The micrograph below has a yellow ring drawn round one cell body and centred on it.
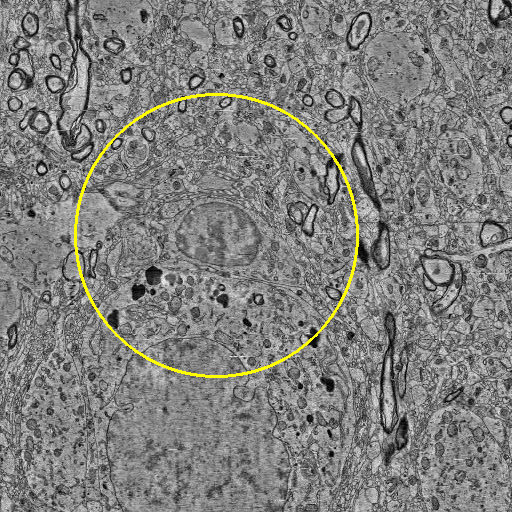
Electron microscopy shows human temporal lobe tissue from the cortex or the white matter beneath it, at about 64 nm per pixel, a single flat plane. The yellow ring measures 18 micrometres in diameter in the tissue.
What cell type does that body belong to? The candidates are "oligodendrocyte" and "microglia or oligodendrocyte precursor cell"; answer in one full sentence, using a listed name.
This is an oligodendrocyte, the cell whose body lies at the centre of the ring.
